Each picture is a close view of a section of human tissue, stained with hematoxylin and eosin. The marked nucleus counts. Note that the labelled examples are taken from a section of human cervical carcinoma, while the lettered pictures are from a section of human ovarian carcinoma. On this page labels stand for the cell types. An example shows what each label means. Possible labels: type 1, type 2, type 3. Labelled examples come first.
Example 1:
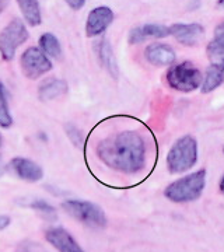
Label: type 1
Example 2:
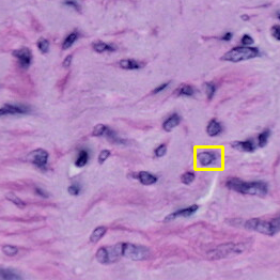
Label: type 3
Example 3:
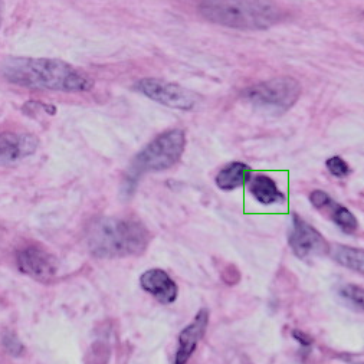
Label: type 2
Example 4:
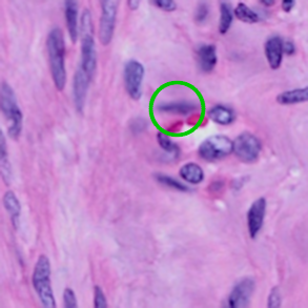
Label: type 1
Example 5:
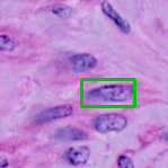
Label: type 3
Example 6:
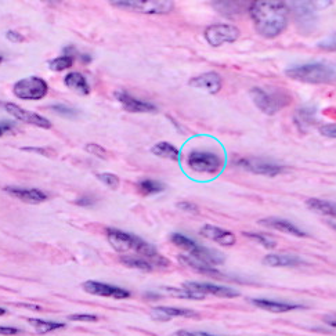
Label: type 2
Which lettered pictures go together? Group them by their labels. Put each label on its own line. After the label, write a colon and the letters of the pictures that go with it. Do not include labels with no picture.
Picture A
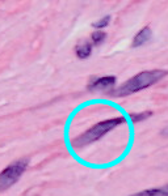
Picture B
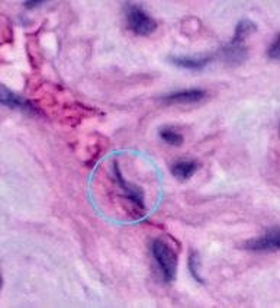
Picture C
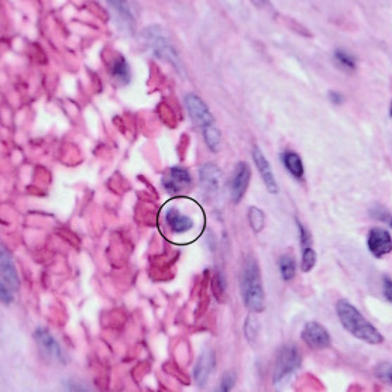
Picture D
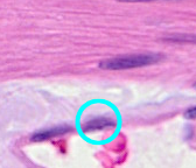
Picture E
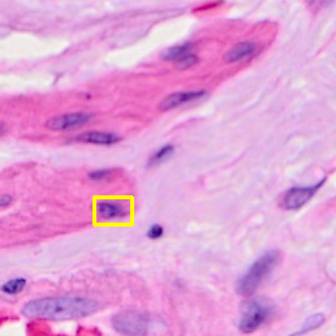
type 1: B, D
type 2: C
type 3: A, E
